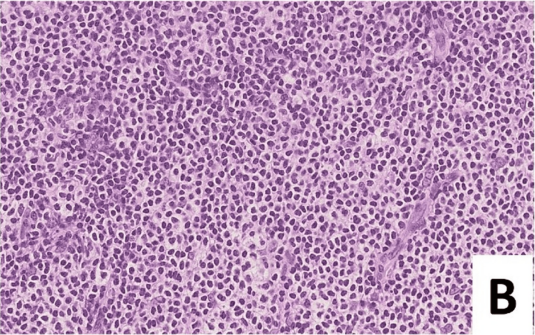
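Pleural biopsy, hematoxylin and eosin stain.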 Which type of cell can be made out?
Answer: Small- to medium-sized tumor cells.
